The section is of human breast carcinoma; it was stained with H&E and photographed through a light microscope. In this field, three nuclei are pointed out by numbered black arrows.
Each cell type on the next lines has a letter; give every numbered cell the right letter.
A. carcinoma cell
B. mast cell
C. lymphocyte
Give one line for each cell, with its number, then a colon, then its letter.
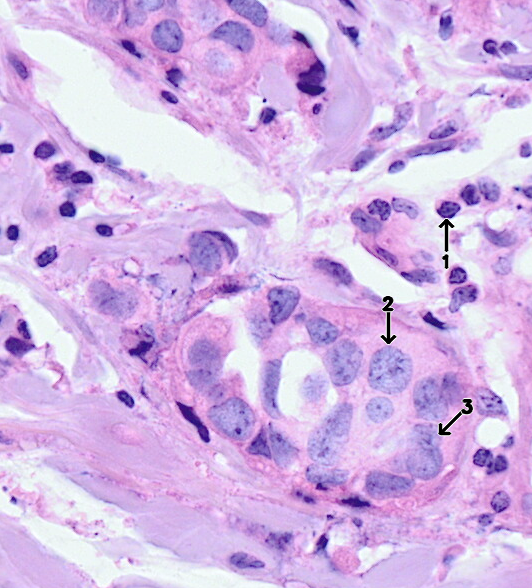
1: C
2: A
3: A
